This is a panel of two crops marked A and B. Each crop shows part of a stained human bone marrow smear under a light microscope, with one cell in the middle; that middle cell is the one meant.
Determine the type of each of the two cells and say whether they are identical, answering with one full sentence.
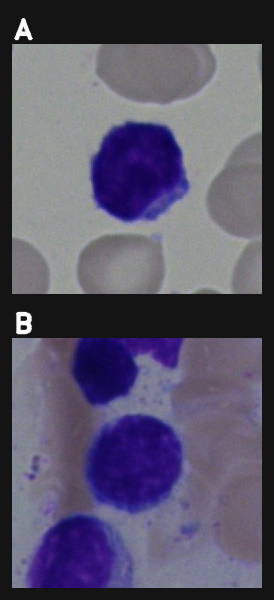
Yes, the first and the second crop both show lymphocytes.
